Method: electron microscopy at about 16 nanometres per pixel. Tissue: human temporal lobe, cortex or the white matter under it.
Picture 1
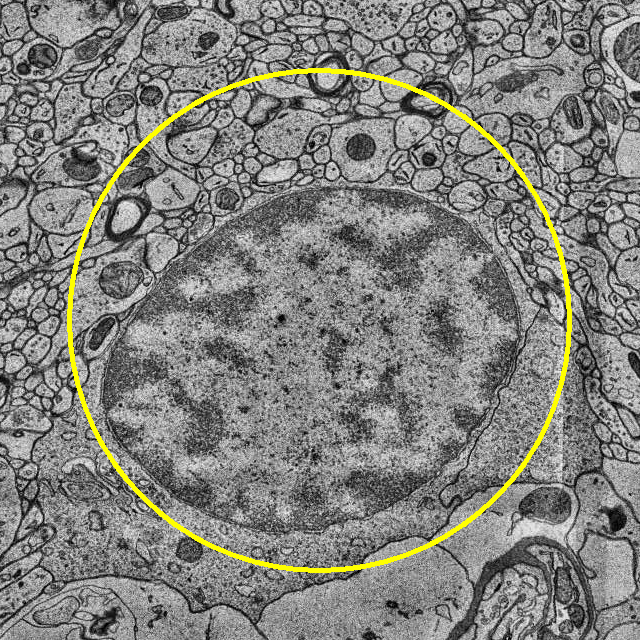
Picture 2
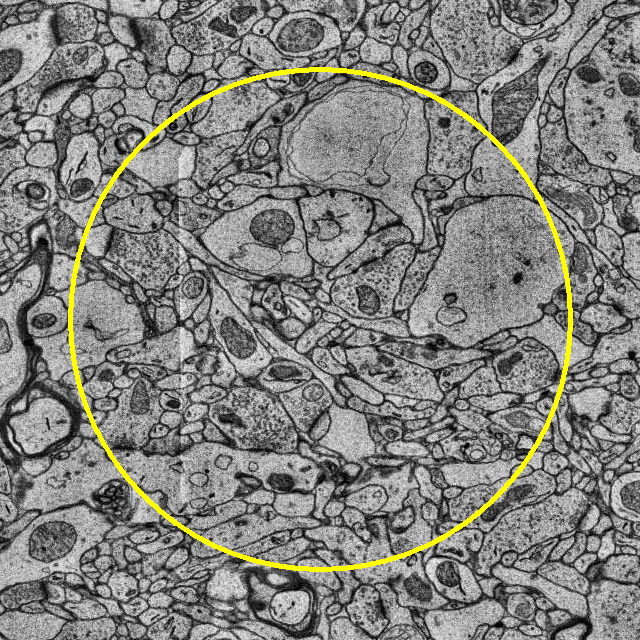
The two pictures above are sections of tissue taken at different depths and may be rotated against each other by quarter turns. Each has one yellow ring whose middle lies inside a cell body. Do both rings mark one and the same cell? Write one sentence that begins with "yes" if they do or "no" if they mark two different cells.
No, there are two different cells marked by the rings.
